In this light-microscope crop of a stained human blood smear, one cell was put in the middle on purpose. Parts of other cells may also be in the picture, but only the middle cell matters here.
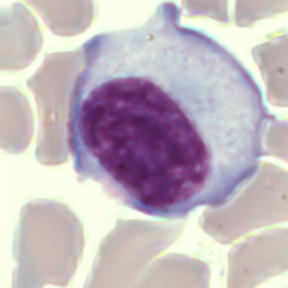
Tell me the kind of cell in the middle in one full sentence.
At the crop's centre, the cell is a plasma cell.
